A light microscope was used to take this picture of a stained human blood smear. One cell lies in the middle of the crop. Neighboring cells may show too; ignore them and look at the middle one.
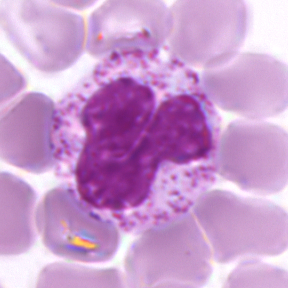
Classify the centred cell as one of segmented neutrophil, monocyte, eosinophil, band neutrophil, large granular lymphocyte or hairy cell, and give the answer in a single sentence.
The crop shows a band neutrophil in its centre.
